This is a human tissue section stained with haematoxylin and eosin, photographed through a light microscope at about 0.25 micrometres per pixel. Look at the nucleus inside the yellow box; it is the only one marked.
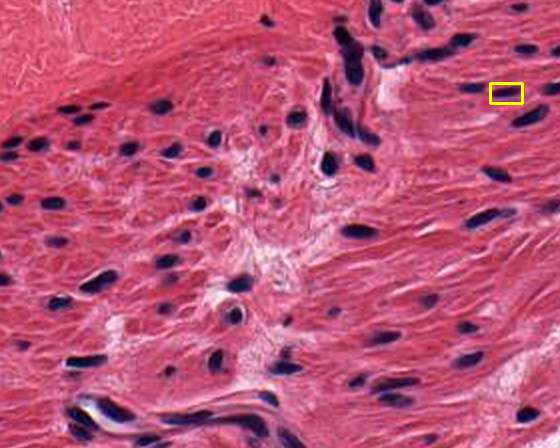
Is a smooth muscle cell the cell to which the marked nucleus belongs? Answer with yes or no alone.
yes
